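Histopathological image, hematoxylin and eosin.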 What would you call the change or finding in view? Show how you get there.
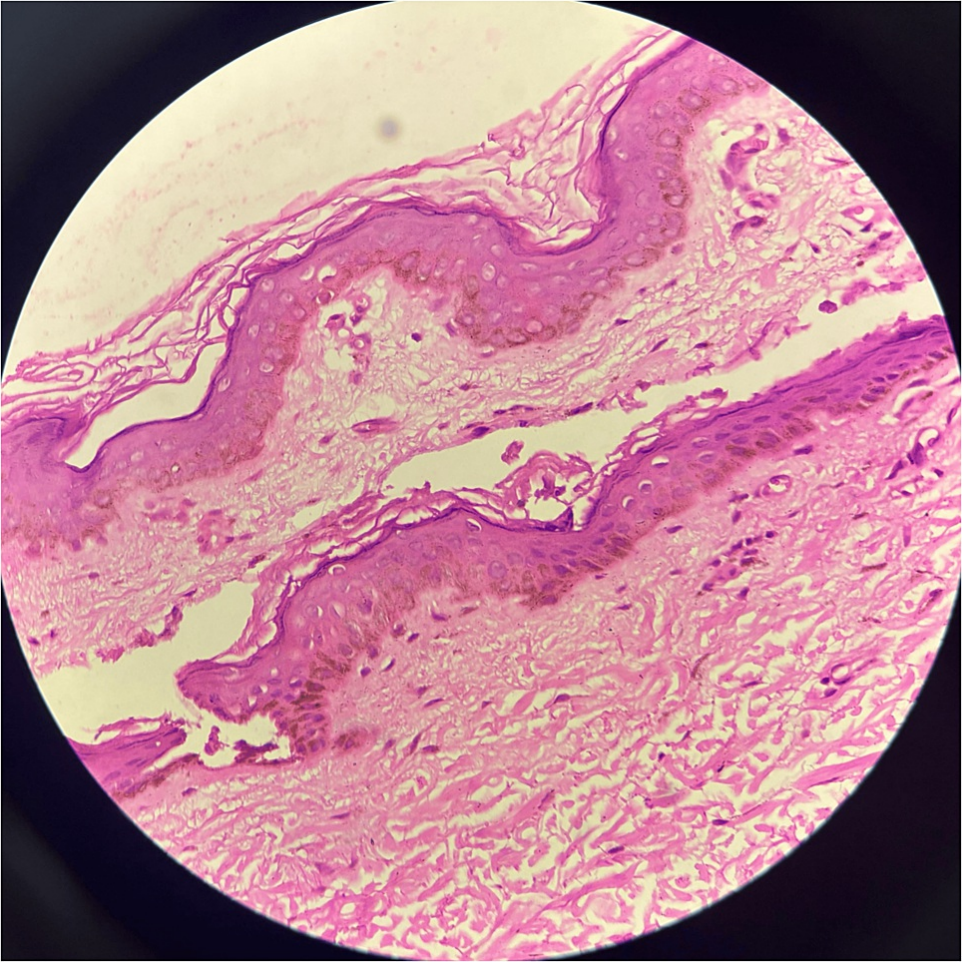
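Loss of rete ridges. The epidermis is a thin band only a few cell layers thick.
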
